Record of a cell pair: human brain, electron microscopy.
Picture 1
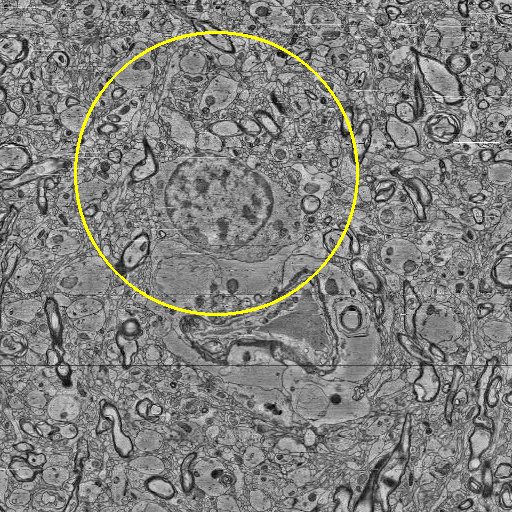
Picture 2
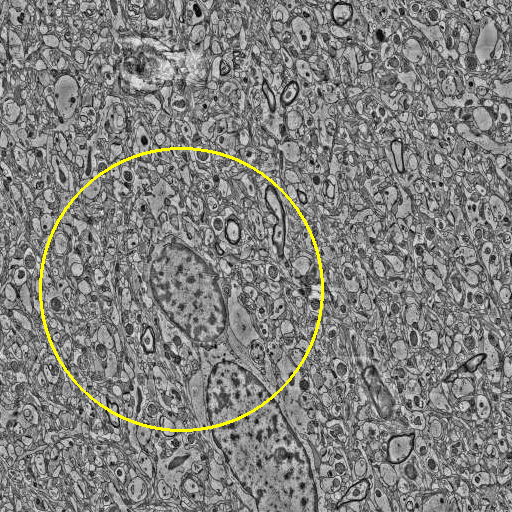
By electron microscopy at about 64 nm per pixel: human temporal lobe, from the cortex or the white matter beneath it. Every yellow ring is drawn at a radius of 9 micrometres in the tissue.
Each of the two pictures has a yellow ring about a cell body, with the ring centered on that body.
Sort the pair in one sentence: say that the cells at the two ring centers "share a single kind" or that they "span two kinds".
The cells centered in the rings of Pictures 1 and 2 share a single kind.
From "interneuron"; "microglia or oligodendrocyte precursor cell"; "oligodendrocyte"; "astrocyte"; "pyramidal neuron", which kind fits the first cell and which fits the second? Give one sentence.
Each of the ringed cells, first and second, is an oligodendrocyte.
